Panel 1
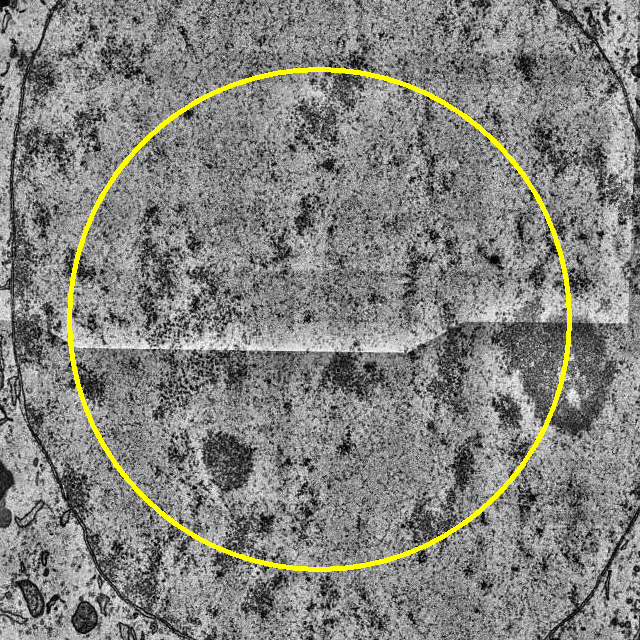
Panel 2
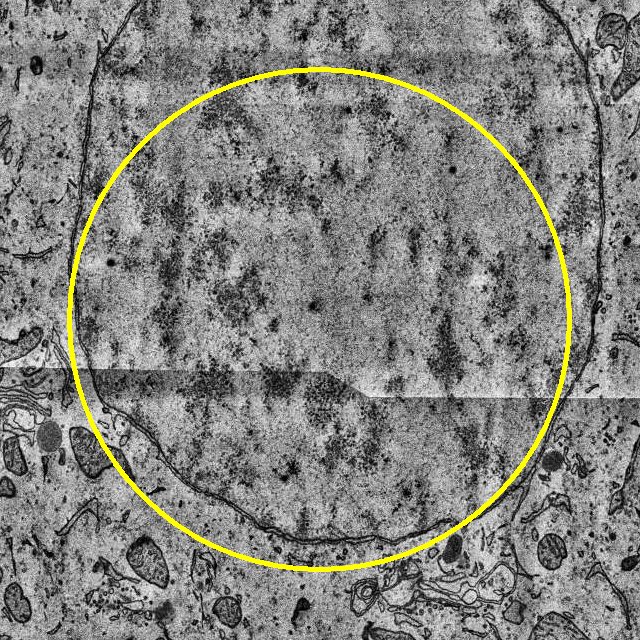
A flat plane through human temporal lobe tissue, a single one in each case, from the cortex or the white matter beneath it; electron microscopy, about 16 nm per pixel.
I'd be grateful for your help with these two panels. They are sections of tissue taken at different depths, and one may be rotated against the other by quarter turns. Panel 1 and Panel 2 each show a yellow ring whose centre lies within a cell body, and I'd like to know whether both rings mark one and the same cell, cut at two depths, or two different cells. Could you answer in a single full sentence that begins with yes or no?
Yes, the two rings encircle a single cell, not a pair.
